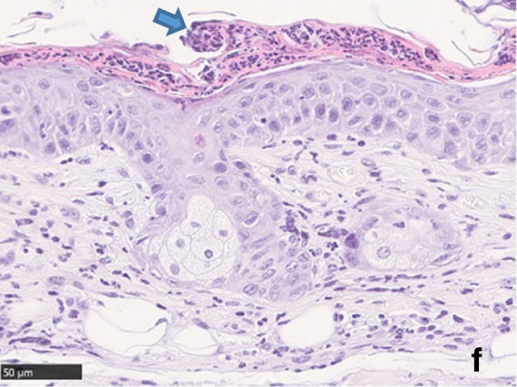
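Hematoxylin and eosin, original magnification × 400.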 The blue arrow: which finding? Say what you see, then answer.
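Munro abscess. A collection of small dark nuclei lies within the pink surface layer above the epidermis. The arrow points to this cluster.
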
